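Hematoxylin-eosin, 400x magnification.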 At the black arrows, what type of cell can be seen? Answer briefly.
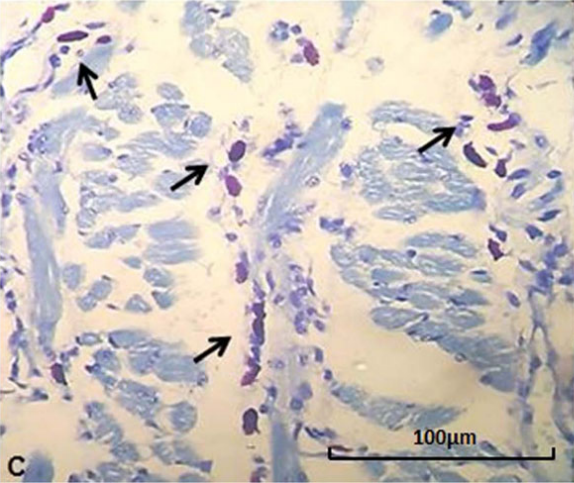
mast cells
